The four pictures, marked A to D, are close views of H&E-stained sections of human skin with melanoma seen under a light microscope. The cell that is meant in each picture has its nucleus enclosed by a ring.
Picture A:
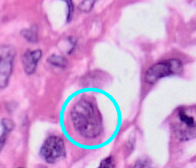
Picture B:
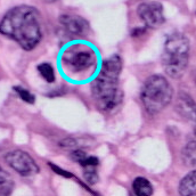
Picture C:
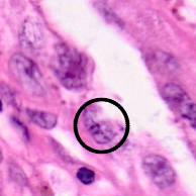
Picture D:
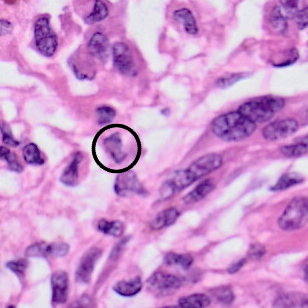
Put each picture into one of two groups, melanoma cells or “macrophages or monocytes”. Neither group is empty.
A: melanoma cell
B: melanoma cell
C: melanoma cell
D: macrophage or monocyte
